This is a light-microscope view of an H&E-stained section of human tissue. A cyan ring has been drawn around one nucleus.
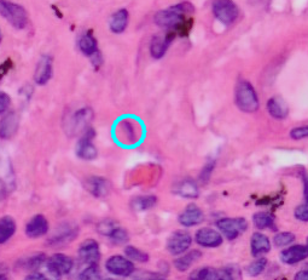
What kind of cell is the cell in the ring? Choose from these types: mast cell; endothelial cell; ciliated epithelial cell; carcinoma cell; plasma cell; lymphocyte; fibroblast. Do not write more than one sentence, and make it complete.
In the context of this tissue, the cell in the ring is an endothelial cell.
